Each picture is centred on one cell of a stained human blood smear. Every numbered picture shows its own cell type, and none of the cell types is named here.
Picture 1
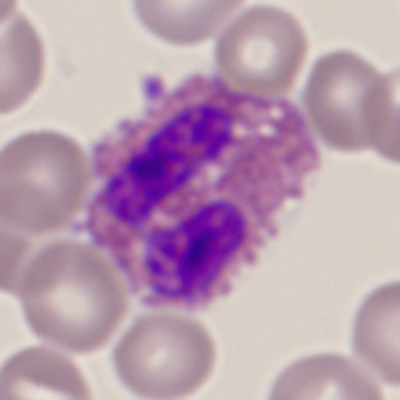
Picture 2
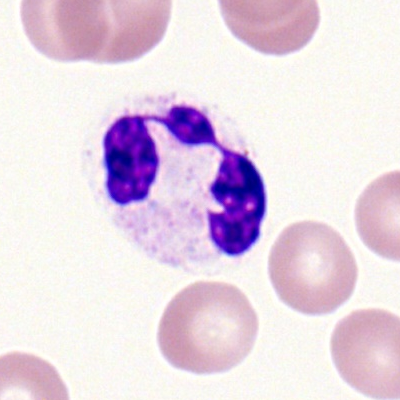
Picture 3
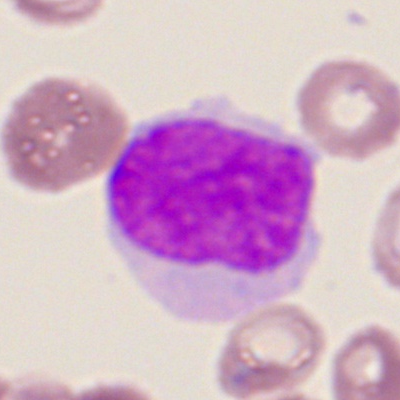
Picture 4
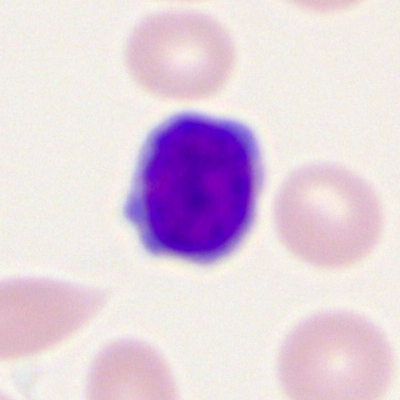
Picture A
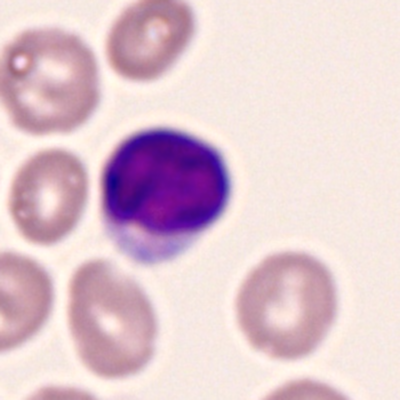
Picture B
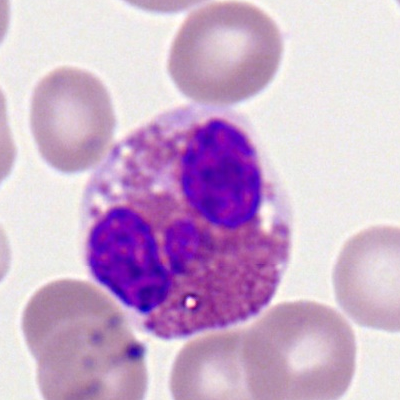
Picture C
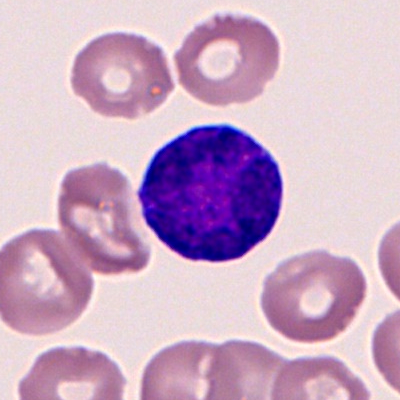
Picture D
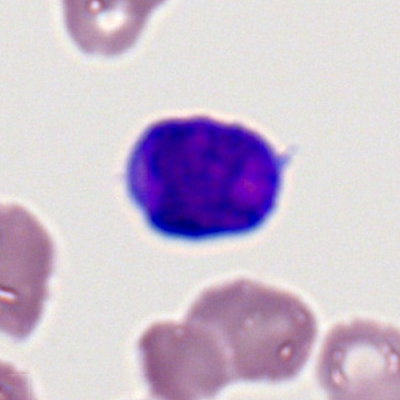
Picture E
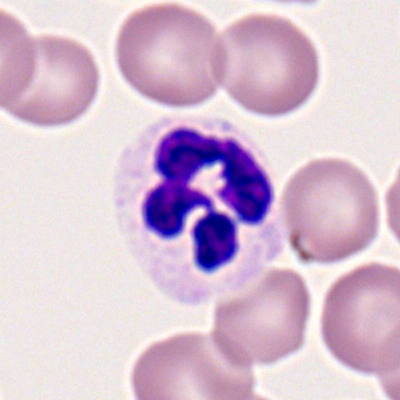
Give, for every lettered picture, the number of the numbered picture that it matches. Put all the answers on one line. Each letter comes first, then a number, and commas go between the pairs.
A 4, B 1, C 4, D 4, E 2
